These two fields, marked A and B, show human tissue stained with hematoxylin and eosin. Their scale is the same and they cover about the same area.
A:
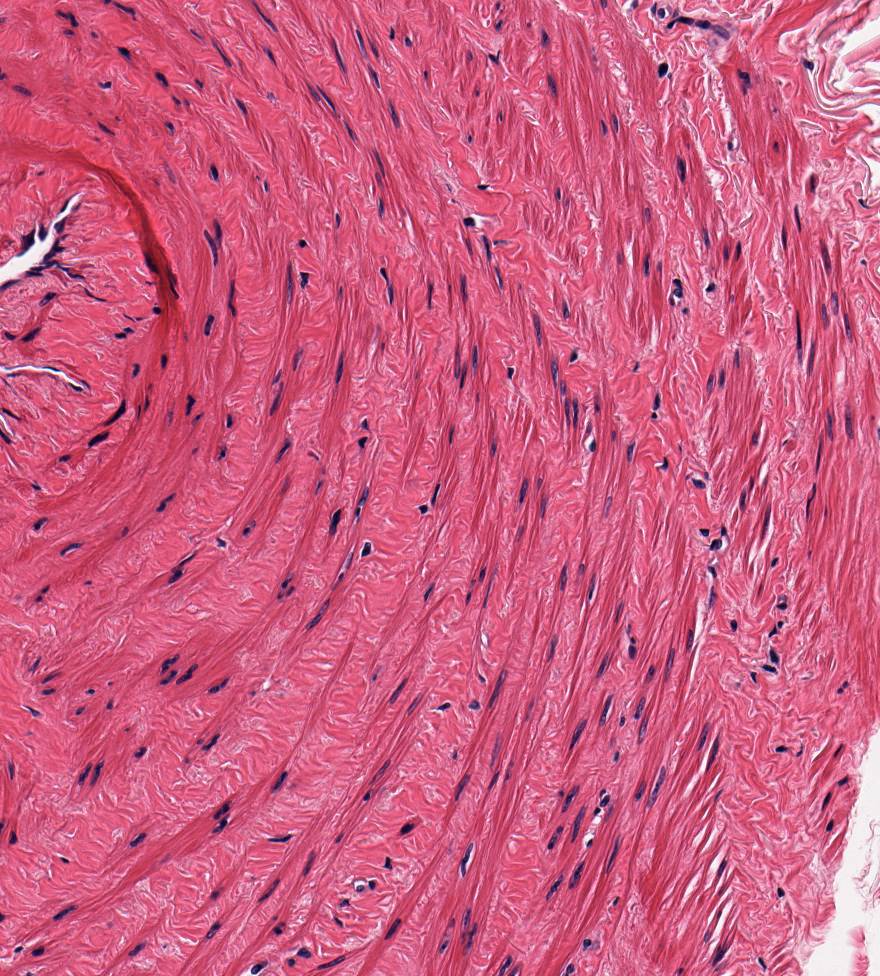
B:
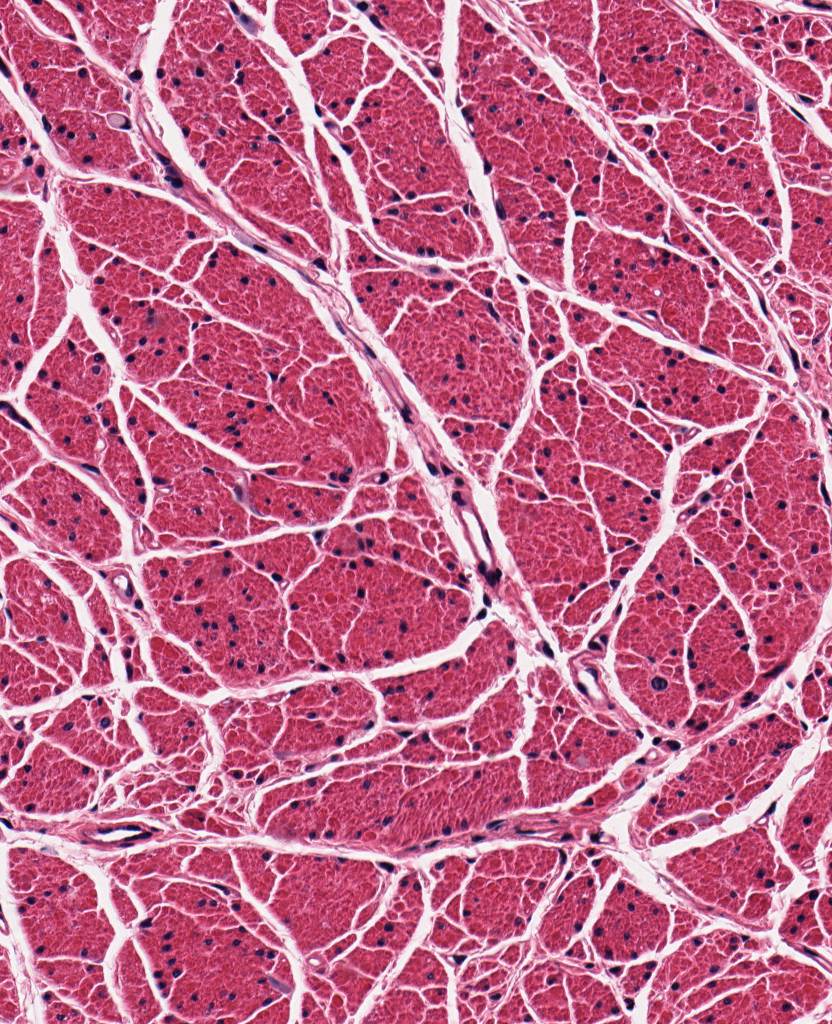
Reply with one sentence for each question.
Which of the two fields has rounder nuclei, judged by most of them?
It is field B whose nuclei are the rounder.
